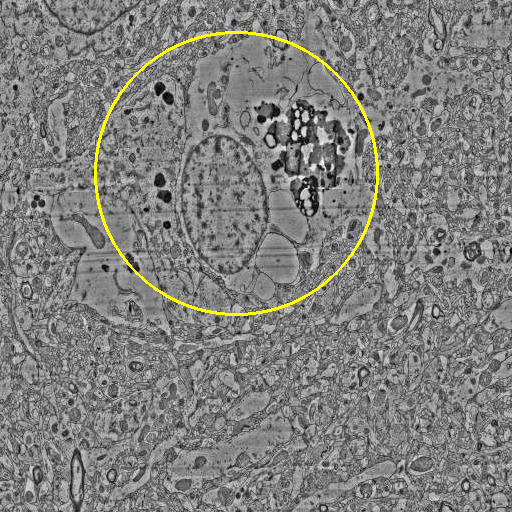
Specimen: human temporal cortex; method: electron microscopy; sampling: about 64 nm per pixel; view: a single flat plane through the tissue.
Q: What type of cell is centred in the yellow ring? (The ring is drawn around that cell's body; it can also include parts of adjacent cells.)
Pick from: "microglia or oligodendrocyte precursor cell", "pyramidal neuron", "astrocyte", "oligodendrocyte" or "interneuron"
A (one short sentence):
The yellow ring is centred on an astrocyte.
